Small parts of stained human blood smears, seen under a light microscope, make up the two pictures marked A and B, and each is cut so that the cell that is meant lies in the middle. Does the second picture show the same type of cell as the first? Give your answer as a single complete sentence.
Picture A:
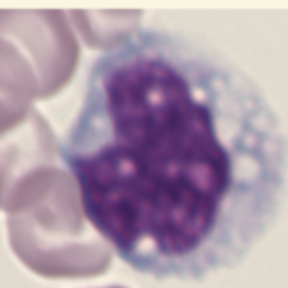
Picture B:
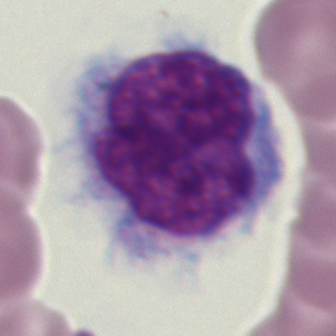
Yes, both cells are monocytes.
